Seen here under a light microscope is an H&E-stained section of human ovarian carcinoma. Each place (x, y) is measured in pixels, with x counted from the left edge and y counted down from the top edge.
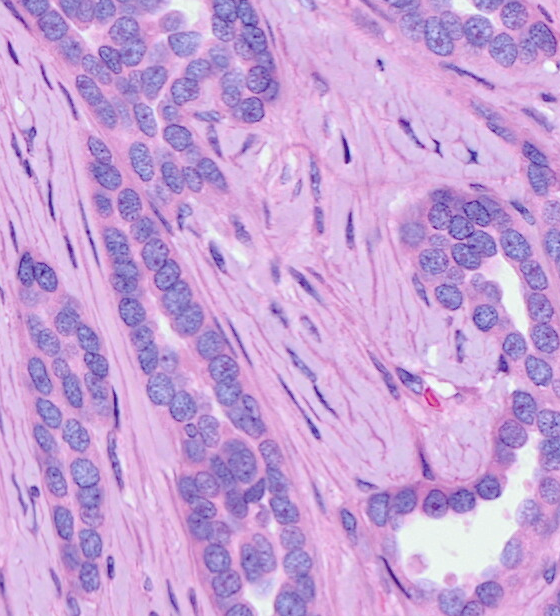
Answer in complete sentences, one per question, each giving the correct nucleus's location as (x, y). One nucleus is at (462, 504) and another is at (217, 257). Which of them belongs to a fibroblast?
Only the nucleus at (217, 257), of the two, belongs to a fibroblast.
